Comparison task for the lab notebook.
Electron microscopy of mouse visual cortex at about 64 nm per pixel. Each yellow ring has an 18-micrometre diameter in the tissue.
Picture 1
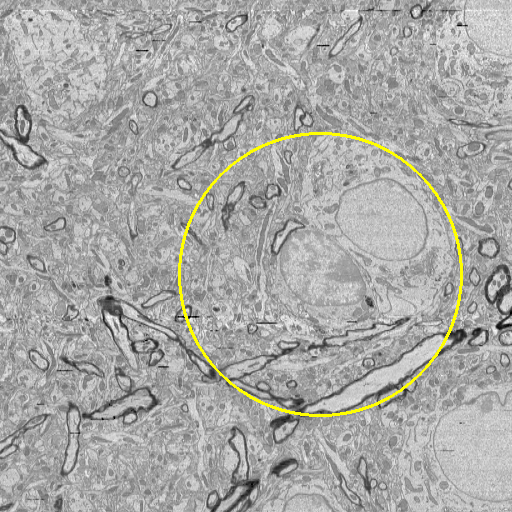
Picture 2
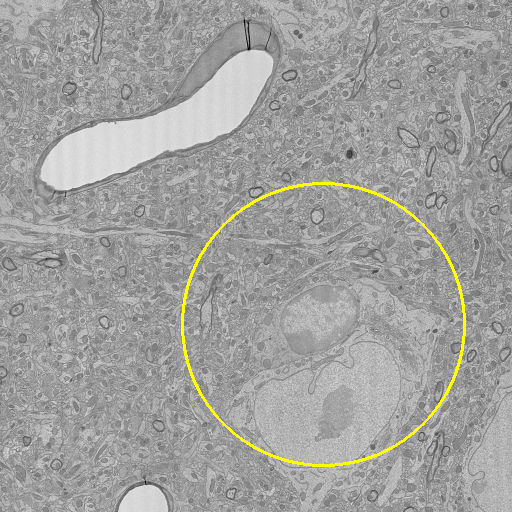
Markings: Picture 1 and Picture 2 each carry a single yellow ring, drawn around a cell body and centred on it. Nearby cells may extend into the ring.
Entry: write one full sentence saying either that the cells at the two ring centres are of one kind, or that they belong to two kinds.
The cells sitting at the ring centres in Picture 1 and Picture 2 are of one kind.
